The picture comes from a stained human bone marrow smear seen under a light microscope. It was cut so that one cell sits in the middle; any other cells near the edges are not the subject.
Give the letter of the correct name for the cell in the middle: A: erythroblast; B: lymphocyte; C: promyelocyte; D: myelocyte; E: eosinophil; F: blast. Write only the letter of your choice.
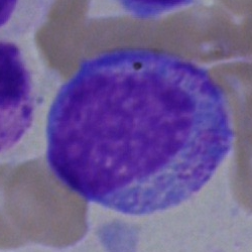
C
